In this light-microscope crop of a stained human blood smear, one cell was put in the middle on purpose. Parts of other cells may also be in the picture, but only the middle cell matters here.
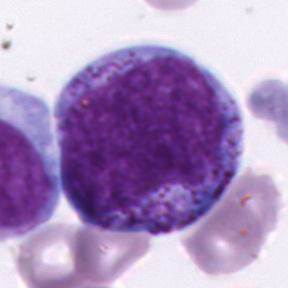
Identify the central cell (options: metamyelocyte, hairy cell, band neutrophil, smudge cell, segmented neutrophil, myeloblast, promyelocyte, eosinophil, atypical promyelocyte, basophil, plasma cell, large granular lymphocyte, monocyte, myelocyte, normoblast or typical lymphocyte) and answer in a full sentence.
The cell under consideration, at the middle of the crop, is a promyelocyte.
